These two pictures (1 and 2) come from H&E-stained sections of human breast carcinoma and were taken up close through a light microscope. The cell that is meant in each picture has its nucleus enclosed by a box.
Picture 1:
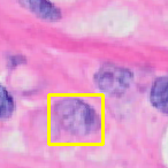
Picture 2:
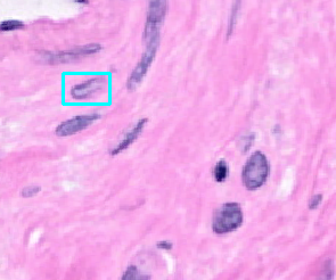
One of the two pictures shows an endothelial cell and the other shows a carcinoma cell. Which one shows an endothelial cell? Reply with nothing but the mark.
2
